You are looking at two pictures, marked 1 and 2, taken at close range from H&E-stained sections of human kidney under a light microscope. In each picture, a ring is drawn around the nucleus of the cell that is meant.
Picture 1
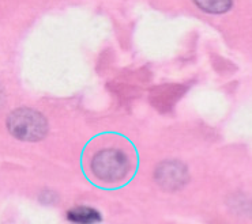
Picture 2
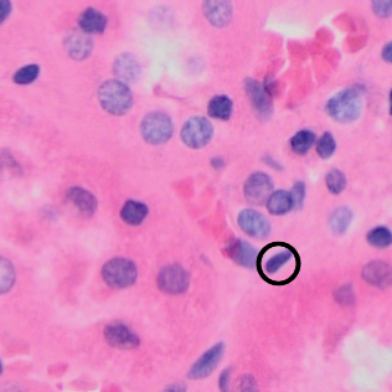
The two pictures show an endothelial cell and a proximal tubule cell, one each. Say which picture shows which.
1: proximal tubule cell
2: endothelial cell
